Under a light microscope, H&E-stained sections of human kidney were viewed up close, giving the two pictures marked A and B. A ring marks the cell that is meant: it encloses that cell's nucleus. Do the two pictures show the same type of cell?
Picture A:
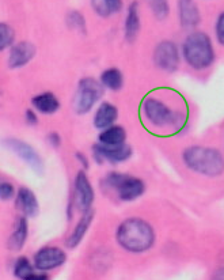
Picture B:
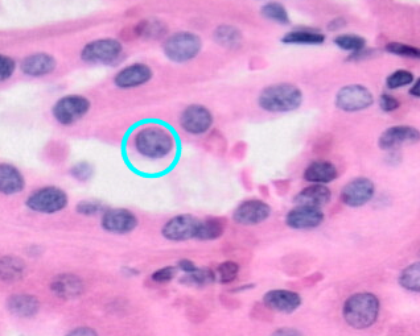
no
